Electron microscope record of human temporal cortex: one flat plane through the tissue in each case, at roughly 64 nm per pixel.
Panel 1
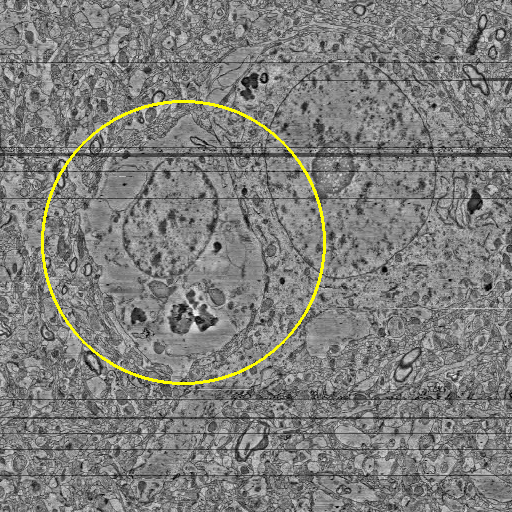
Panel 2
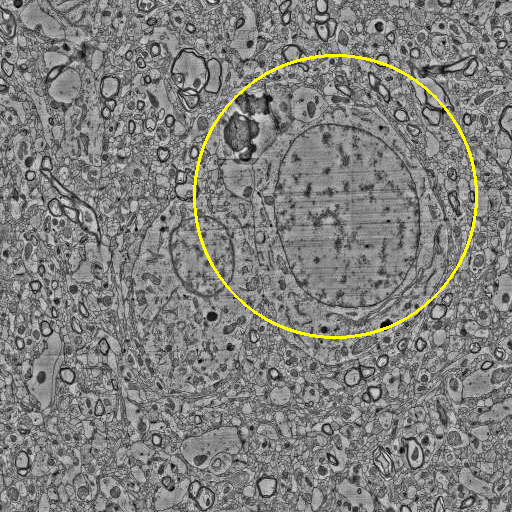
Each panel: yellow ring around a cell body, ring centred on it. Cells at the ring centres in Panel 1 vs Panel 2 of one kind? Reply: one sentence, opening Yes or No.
No, Panel 1 and Panel 2 have cells of two kinds at the ring centres.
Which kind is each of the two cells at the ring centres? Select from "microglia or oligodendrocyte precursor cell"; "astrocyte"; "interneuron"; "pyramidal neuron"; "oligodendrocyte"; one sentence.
The cell at the centre of the ring is an astrocyte in the first picture and a pyramidal neuron in the second.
